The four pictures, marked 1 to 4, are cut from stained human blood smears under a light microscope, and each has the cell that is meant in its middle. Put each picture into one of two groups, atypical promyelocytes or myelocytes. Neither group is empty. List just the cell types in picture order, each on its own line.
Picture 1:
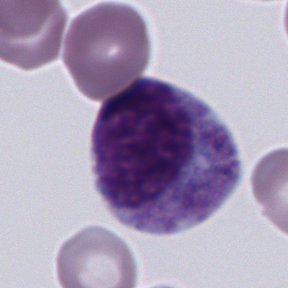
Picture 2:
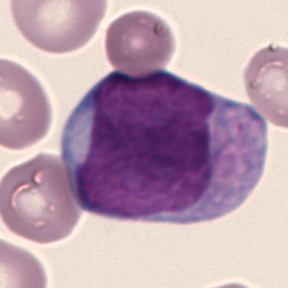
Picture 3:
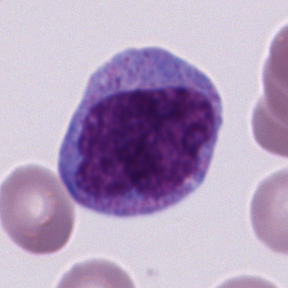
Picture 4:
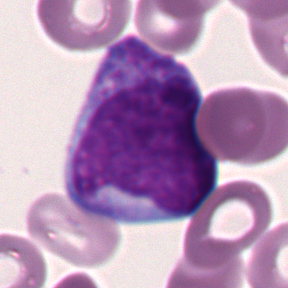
myelocyte
atypical promyelocyte
atypical promyelocyte
atypical promyelocyte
